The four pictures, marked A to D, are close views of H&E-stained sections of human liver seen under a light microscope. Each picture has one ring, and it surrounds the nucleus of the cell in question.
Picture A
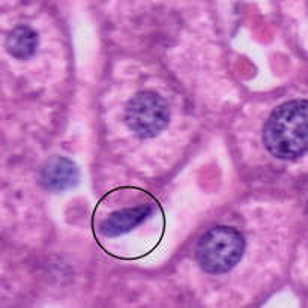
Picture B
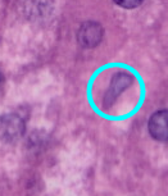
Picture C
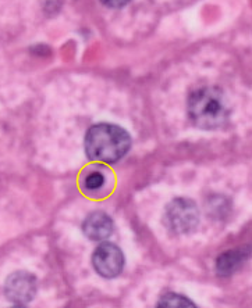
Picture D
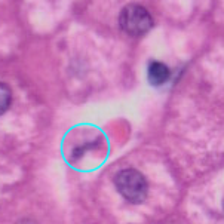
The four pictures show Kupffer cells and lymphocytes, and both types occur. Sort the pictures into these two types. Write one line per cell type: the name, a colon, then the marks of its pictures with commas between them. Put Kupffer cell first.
Kupffer cell: A, B, D
lymphocyte: C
